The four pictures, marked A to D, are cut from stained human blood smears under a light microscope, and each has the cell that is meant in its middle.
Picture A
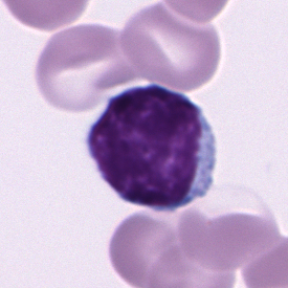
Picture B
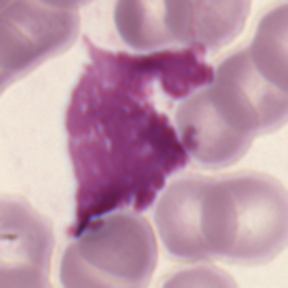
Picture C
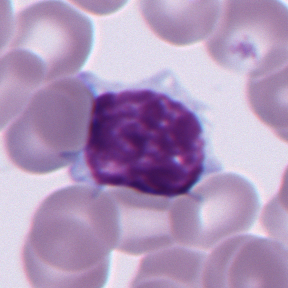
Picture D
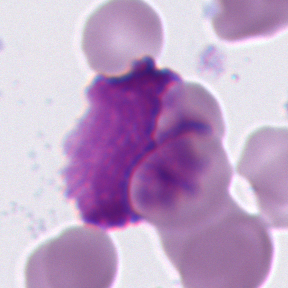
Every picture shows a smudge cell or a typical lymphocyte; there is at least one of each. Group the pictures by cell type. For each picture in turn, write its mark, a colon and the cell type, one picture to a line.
A: typical lymphocyte
B: smudge cell
C: typical lymphocyte
D: smudge cell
